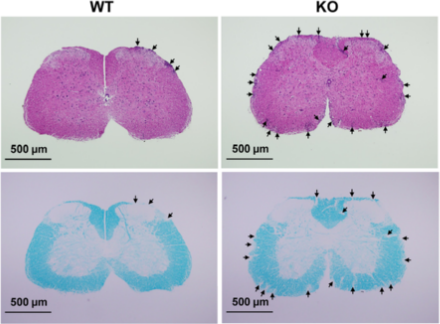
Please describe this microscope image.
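The butterfly-shaped central gray matter is surrounded by a rim of white matter; in the blue-stained sections the white matter is turquoise and the gray matter pale. In the right-hand pink section, arrows mark many spots along the outer edge of the white matter where small dark purple nuclei are crowded, consistent with infiltrating leukocytes. In the matching blue-stained section, arrows point to pale patches at the margins of the white matter where the blue is lost, consistent with demyelination. The left-hand sections show only a few such marked foci.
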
